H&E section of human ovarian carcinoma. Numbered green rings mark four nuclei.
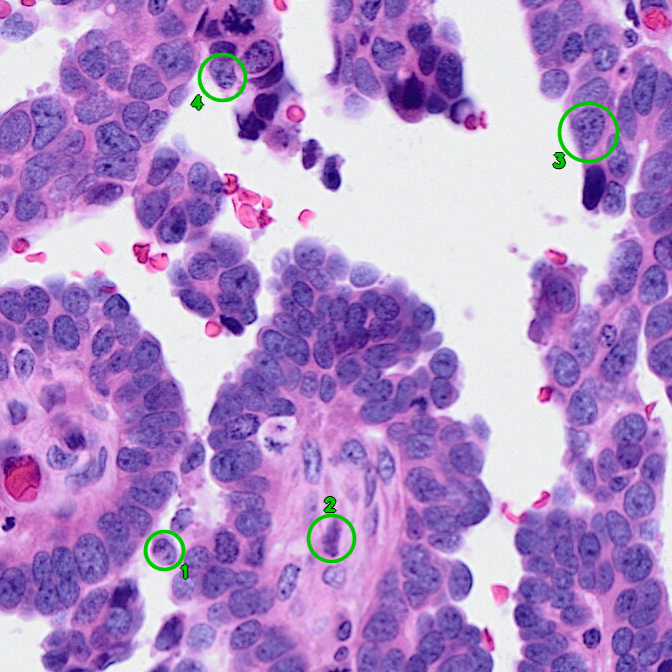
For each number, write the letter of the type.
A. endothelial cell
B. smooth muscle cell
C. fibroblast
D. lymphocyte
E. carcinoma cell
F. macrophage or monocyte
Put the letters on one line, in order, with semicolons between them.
F; C; E; F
